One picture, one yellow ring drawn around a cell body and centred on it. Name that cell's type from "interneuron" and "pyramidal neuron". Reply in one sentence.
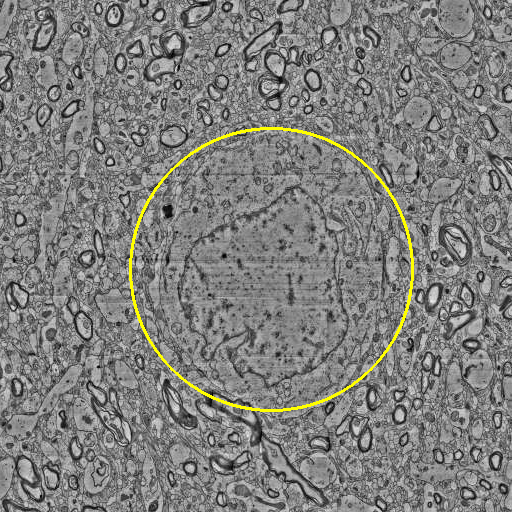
Centred in the ring is an interneuron.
